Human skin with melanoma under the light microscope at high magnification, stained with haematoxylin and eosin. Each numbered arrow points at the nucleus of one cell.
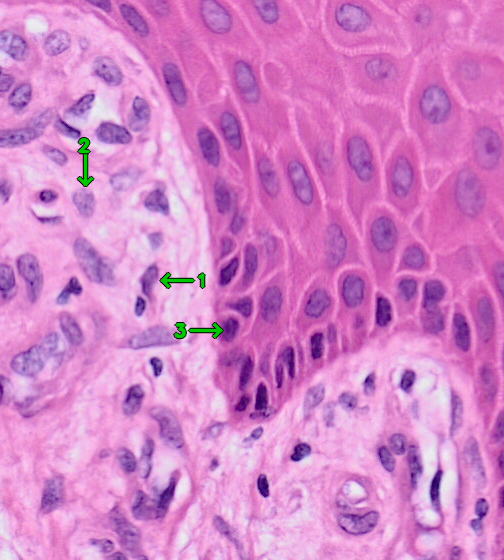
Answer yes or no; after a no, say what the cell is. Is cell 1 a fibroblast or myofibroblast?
Yes.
